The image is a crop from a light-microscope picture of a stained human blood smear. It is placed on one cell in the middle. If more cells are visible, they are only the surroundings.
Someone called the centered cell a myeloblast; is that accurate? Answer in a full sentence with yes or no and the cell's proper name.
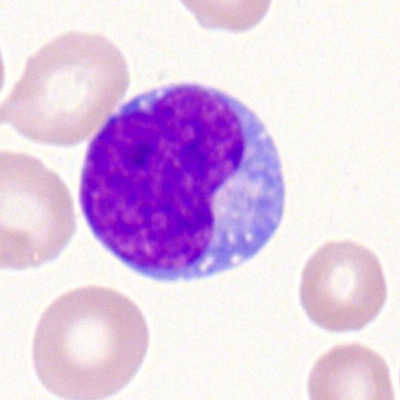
Yes, that is a myeloblast in the middle of the crop.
